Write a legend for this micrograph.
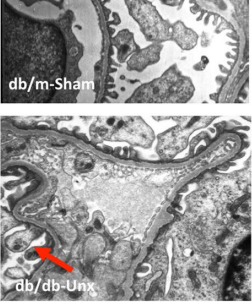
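Glomerular capillary wall with podocyte foot processes, looking less regular than normal. A dark, wavy basement membrane runs across the field. The foot processes along it are fewer, wider and uneven, with stretches where cell cytoplasm lies flat on the membrane instead of in separate small extensions. A red arrow at lower left points into the wall. A large pale capillary lumen lies in the middle, and cell profiles with granular cytoplasm and irregular outlines crowd the lower part of the field.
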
